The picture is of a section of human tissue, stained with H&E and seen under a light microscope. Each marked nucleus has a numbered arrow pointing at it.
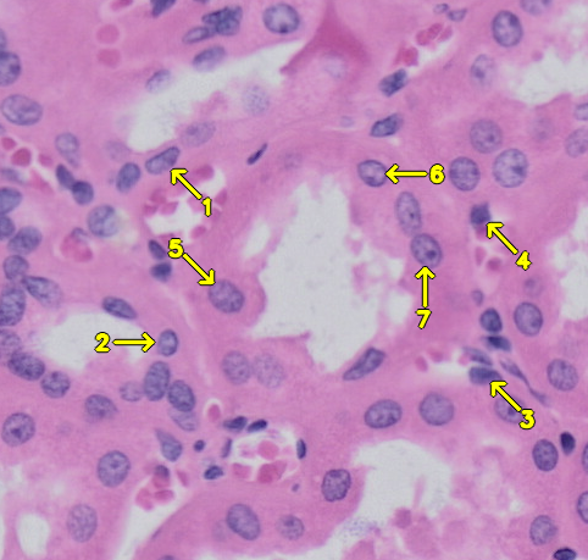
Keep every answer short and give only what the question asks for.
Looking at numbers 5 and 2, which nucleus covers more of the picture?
5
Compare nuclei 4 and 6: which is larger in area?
6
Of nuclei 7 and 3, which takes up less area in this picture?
3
